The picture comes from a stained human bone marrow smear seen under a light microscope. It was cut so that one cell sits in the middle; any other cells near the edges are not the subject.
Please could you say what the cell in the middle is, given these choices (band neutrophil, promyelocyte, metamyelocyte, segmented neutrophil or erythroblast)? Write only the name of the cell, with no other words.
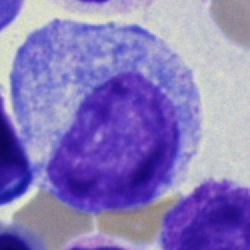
promyelocyte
